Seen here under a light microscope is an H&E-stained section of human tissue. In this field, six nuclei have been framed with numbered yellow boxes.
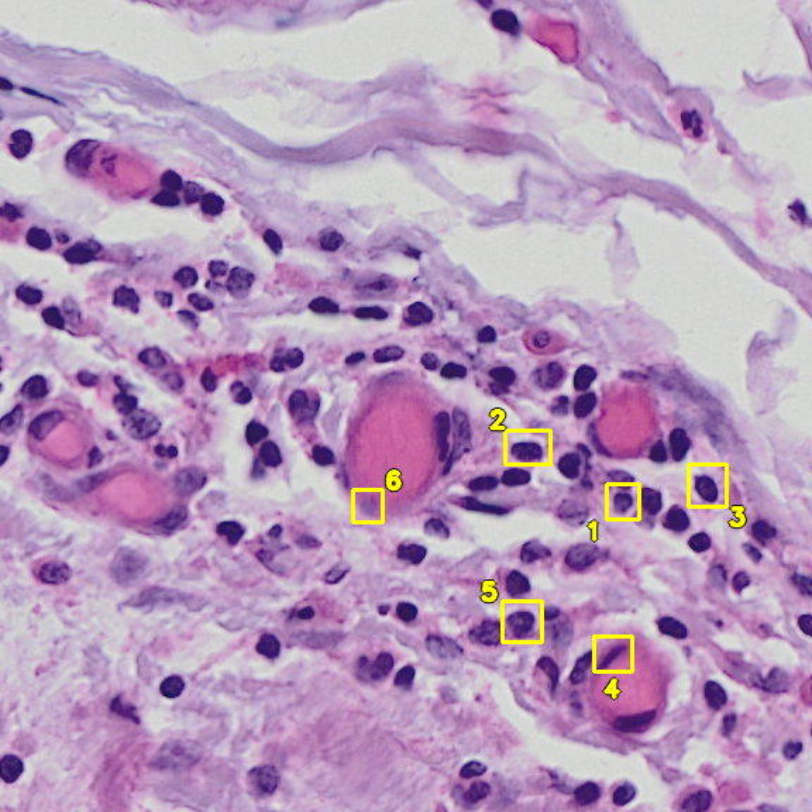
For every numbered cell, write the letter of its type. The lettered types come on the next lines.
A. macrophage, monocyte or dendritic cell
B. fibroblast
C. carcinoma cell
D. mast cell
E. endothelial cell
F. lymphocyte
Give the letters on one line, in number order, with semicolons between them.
F; F; F; E; F; E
